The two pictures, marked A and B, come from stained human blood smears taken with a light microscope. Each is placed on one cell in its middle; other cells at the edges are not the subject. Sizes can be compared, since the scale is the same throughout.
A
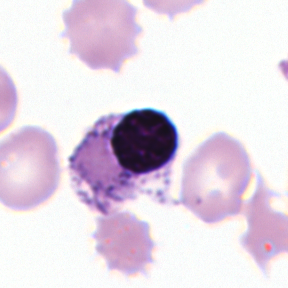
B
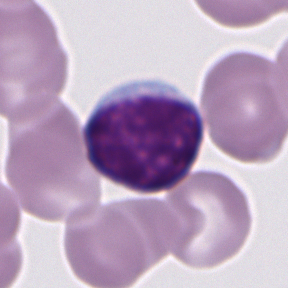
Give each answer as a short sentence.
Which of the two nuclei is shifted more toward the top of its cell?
Seen within its cell, the nucleus in crop A lies further toward the top.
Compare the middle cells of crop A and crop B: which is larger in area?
It is the cell in crop B, about 1.5 times as large in area as the cell in crop A.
